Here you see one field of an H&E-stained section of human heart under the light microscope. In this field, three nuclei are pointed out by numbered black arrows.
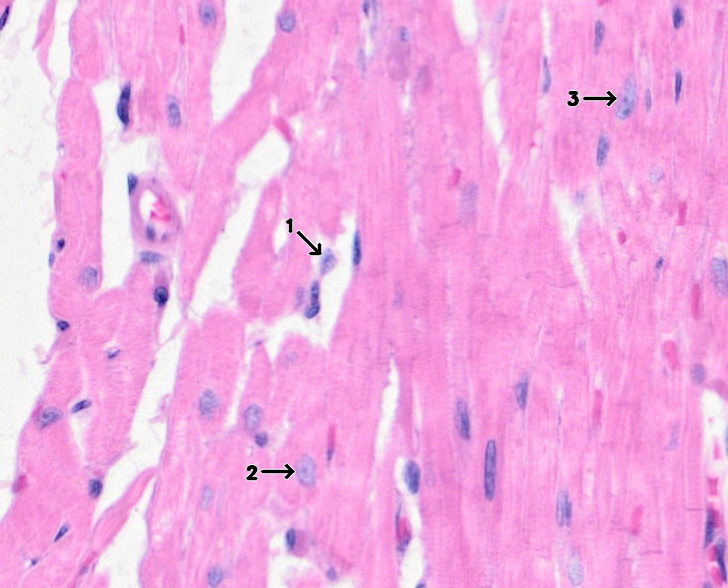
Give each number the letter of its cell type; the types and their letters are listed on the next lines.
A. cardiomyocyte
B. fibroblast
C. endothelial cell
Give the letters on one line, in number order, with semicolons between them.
B; A; A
